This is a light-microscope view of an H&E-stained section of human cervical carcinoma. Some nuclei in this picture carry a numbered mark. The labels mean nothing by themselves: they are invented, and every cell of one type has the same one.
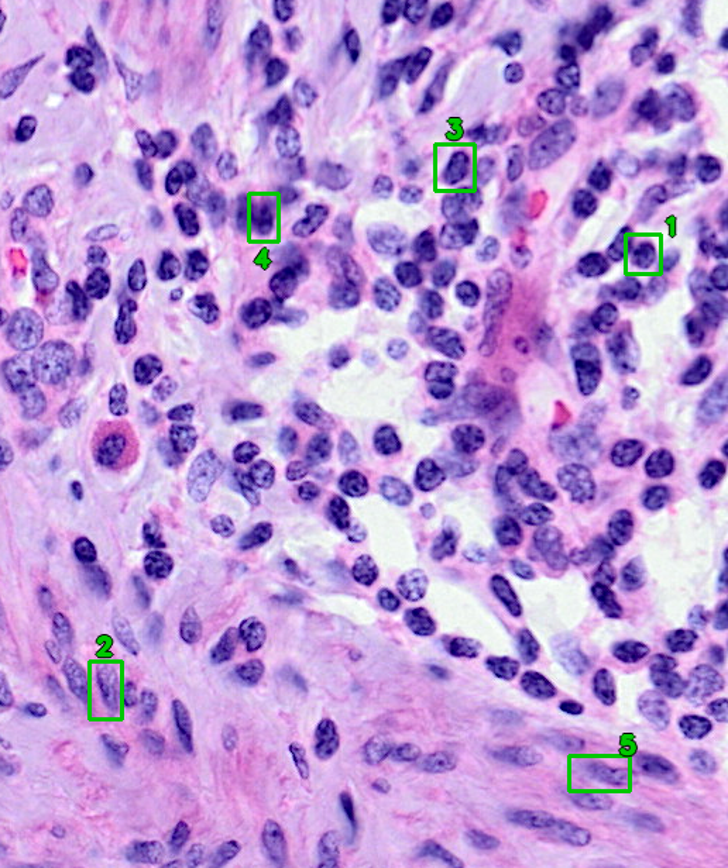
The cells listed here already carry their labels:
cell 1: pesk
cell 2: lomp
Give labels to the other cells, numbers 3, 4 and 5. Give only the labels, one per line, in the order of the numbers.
pesk
pesk
lomp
